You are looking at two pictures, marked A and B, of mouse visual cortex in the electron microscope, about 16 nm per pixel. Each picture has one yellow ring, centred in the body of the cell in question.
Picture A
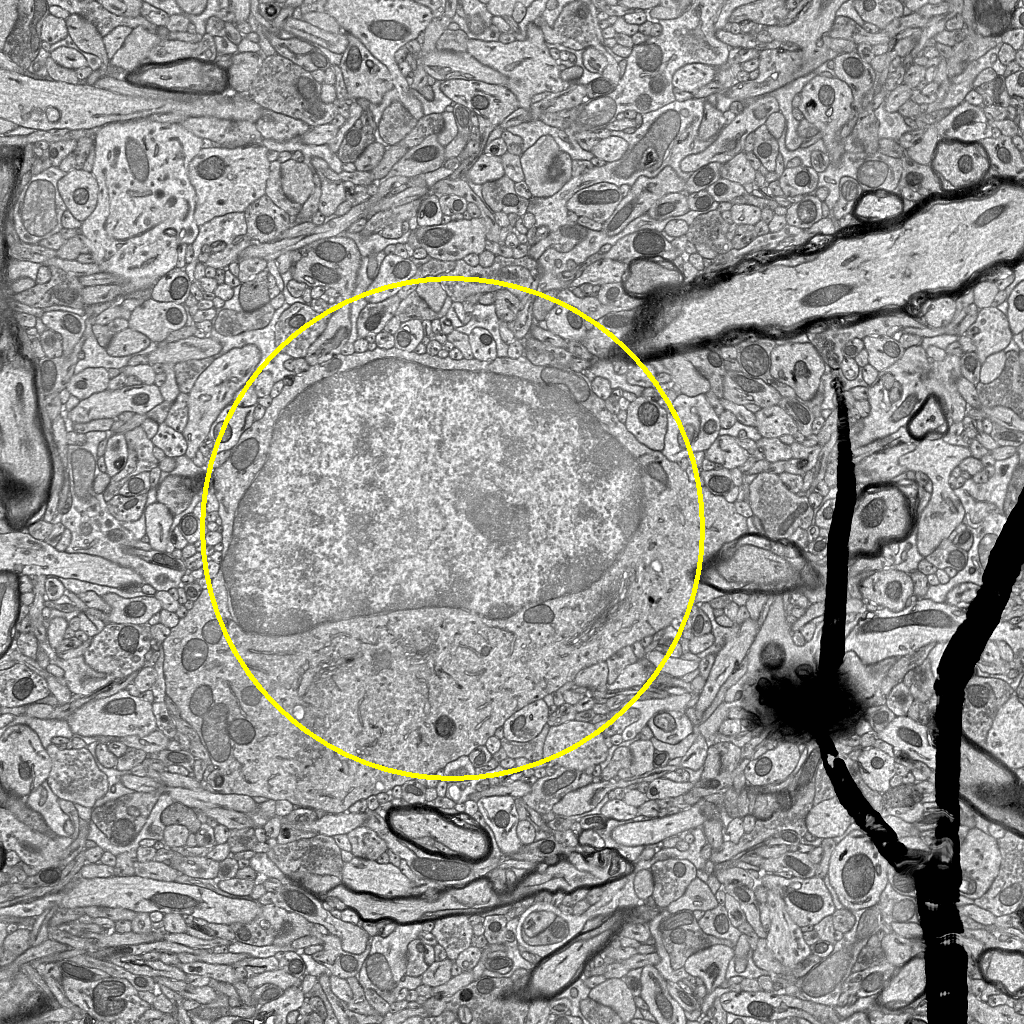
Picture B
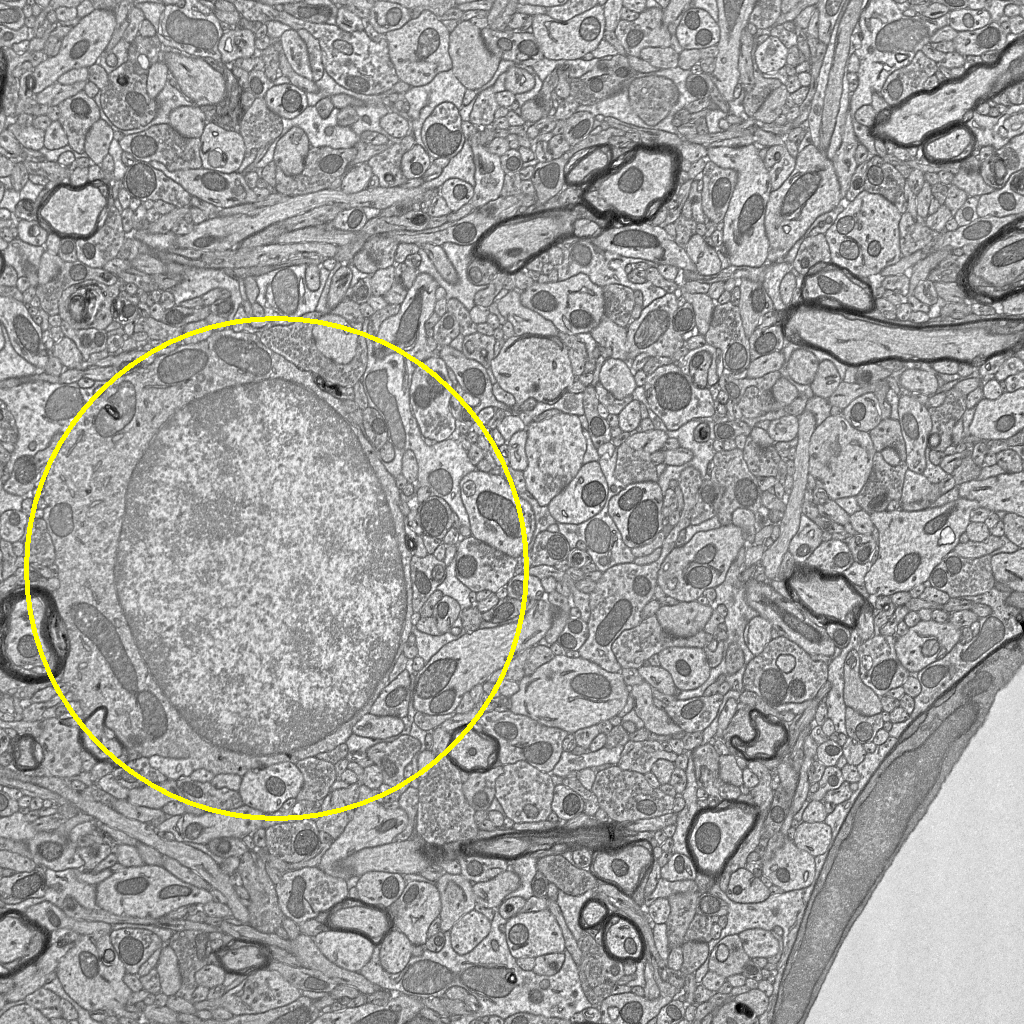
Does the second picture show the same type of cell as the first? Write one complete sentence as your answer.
Yes, they are the same type: both are oligodendrocytes.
